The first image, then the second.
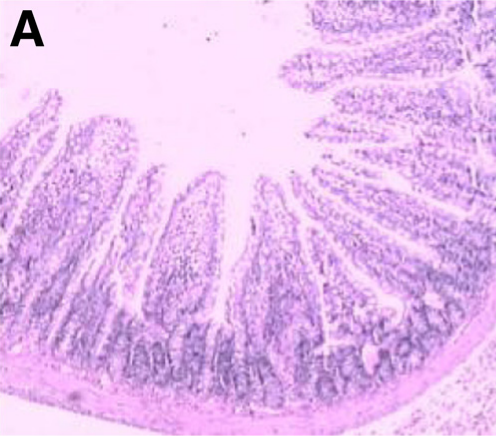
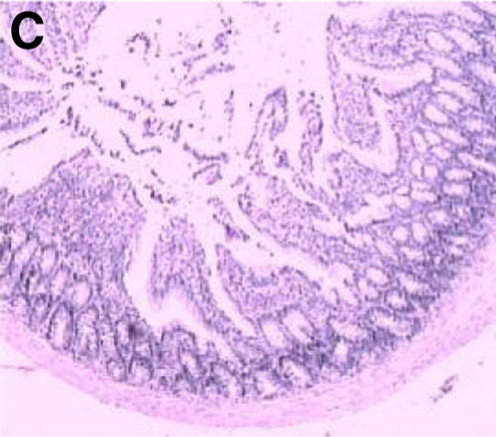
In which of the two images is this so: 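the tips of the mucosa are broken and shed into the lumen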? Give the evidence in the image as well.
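Second image: ragged, broken projection tips with detached fragments scattered in the lumen. First image: intact, regular finger-like projections with a clear lumen.
Hence: the second image.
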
